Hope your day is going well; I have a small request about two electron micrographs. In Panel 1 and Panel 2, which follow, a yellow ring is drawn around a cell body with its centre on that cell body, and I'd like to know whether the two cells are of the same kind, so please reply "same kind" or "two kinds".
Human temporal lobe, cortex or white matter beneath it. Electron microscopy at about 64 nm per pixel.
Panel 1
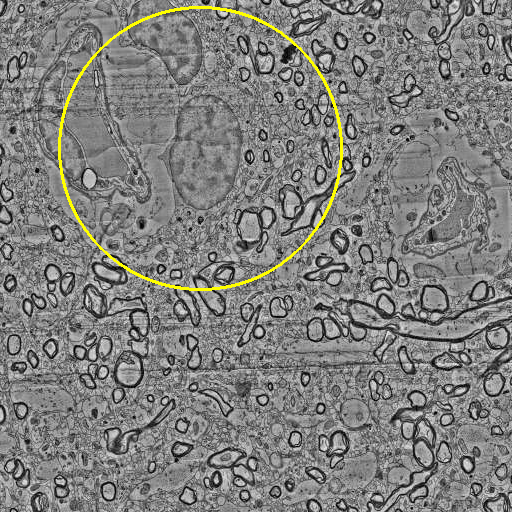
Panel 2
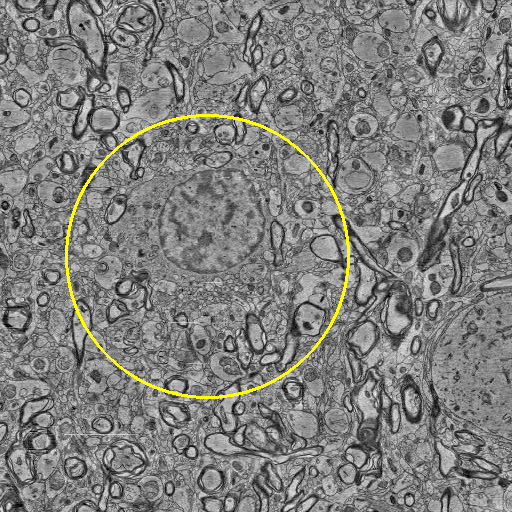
two kinds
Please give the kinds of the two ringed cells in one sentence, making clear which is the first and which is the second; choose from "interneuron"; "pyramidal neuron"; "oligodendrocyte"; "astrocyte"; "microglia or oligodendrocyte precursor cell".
In the second picture the ringed cell is an oligodendrocyte; in the first it is a microglial cell or oligodendrocyte precursor cell.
